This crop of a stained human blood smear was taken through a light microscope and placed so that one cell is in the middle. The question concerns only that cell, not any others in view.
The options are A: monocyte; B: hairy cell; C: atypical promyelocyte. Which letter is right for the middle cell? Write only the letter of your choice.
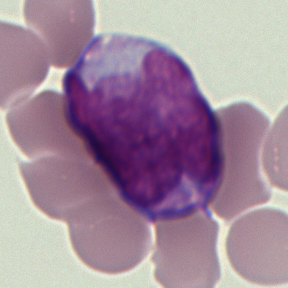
C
